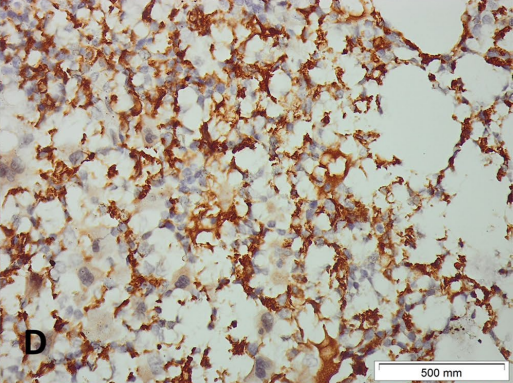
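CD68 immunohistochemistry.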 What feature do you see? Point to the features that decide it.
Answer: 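Adipocytic spaces. Many round, clear, empty spaces of varying size fill the field. Brown-stained cells form a lattice between these spaces.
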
